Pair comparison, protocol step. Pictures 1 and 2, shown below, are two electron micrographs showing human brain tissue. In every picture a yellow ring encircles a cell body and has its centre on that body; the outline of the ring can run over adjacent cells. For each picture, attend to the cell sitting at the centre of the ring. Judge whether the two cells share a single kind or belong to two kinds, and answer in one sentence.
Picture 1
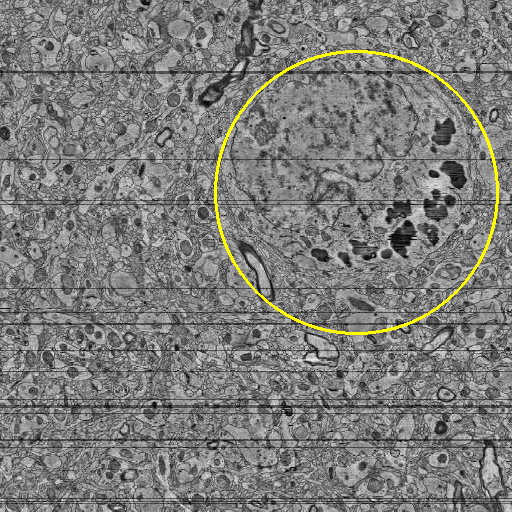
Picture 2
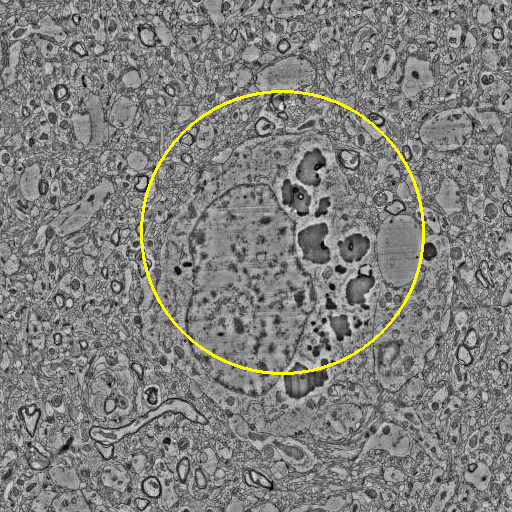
The two cells at the ring centres in Picture 1 and Picture 2 share a single kind.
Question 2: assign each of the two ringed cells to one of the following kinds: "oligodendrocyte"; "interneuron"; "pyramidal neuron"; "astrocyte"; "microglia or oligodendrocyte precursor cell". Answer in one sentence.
The ring centre holds an interneuron in each of the two pictures.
